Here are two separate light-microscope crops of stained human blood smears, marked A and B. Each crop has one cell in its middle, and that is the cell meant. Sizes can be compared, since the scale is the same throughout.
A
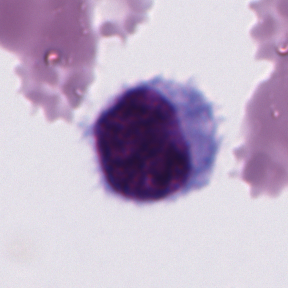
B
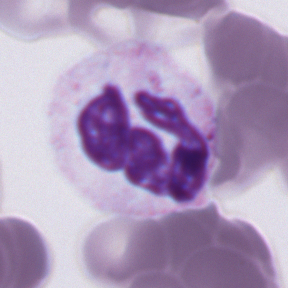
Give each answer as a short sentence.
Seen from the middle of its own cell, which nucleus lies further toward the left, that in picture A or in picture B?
In picture A the nucleus is shifted more toward the left.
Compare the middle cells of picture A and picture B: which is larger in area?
The cell in picture B is larger, with about 2 times the area of the one in picture A.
